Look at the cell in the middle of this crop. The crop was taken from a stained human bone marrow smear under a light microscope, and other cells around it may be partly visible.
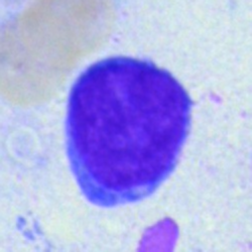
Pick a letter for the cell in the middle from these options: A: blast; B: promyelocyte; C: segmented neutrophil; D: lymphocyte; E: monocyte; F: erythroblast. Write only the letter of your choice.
A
